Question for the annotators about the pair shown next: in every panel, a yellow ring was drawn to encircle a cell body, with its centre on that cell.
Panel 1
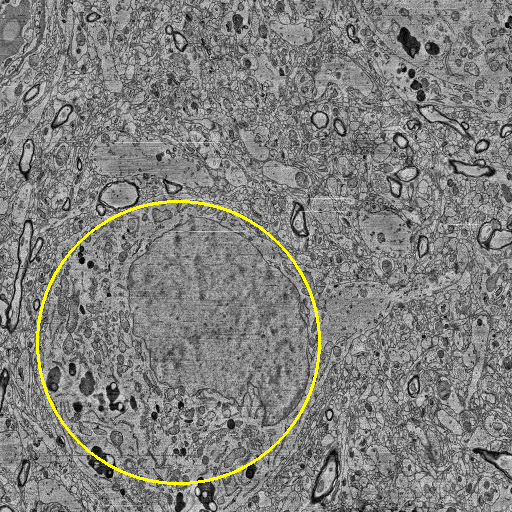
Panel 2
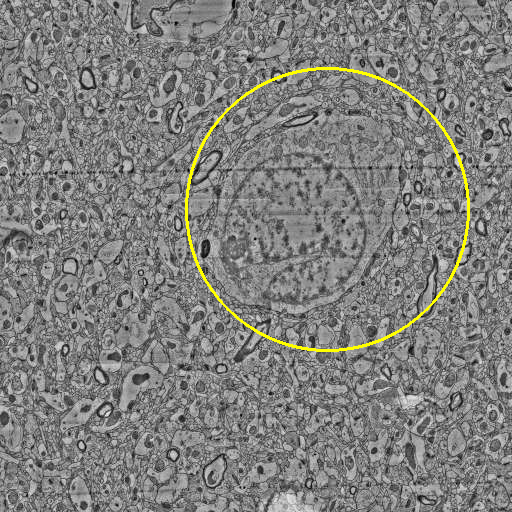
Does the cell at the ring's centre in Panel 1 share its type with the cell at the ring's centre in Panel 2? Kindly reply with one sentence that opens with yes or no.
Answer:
Yes, in Panels 1 and 2 the cells at the ring centres belong to a single type.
